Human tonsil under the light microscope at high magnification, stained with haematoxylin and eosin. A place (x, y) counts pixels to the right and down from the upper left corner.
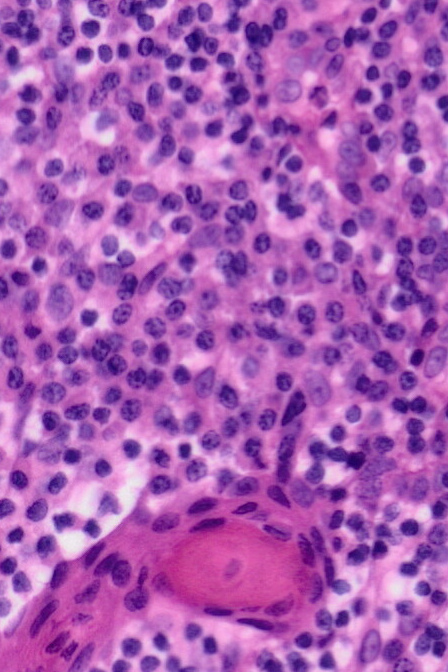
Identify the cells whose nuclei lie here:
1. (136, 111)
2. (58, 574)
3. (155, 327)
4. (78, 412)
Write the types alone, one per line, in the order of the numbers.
plasma cell
squamous epithelial cell
plasma cell
plasma cell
